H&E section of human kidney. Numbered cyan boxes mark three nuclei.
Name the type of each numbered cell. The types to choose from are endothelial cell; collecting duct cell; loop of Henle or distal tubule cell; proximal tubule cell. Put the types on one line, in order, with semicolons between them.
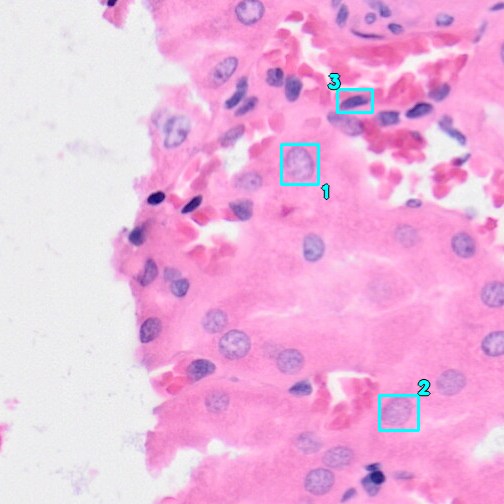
proximal tubule cell; proximal tubule cell; endothelial cell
